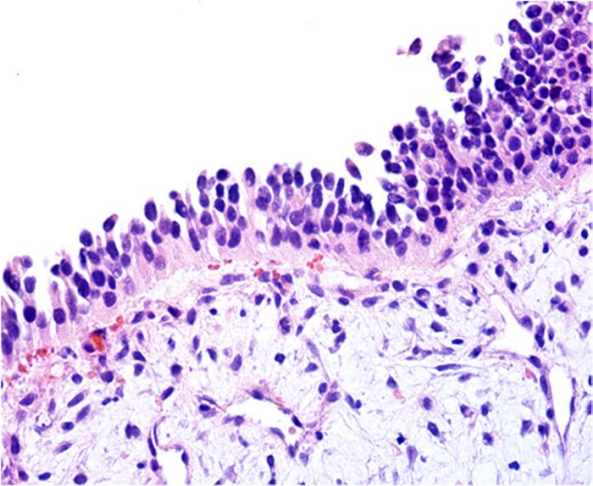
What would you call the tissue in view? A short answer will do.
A: Myxoid stroma.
